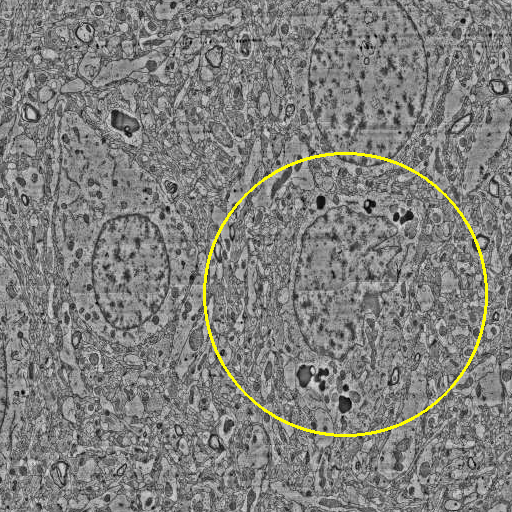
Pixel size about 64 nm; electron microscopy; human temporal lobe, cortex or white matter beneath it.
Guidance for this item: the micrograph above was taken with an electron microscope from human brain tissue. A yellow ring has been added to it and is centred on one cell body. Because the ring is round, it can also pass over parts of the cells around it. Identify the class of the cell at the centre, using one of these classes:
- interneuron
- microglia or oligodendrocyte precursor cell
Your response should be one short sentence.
The ring surrounds the body of an interneuron.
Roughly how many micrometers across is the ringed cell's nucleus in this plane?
In this plane, the nucleus is roughly 10 by 7 micrometres.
